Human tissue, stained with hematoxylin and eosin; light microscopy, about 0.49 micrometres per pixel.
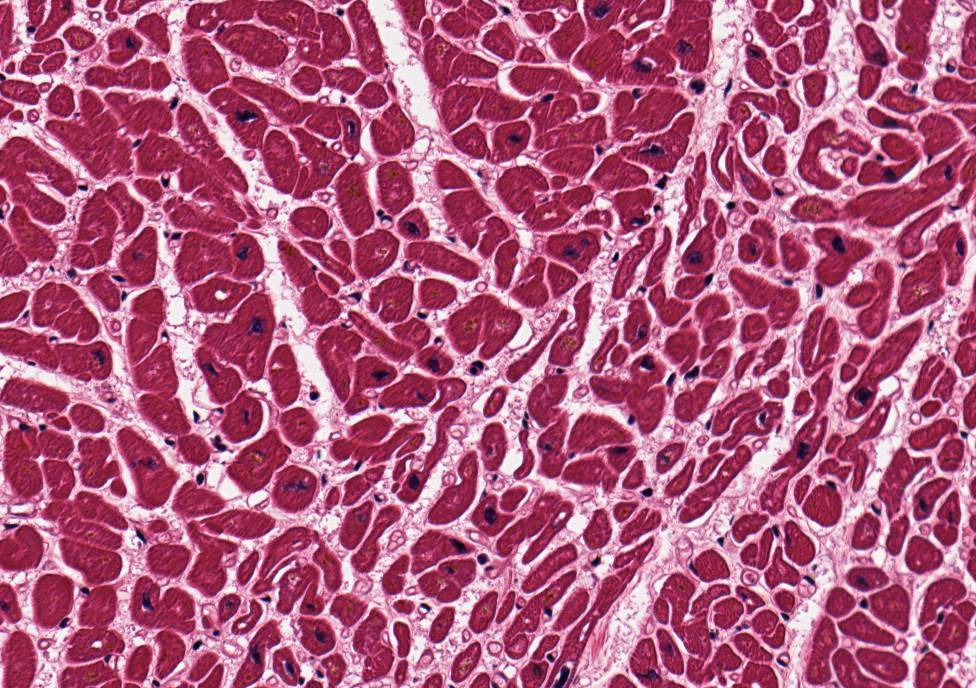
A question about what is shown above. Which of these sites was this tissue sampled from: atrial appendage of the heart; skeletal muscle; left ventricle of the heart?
left ventricle of the heart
